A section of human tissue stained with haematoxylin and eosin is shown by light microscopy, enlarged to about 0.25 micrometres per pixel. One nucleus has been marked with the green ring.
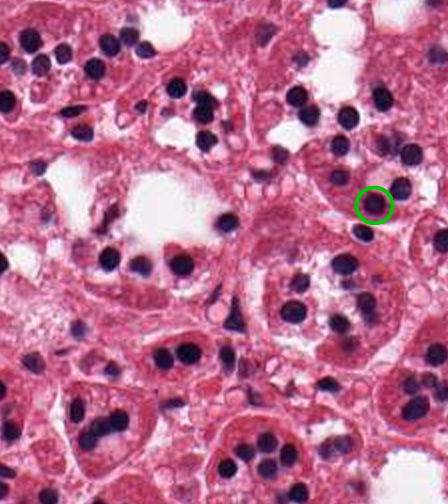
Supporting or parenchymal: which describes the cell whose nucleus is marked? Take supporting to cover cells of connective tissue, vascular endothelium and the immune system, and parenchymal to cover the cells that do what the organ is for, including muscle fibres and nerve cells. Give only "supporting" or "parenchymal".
parenchymal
